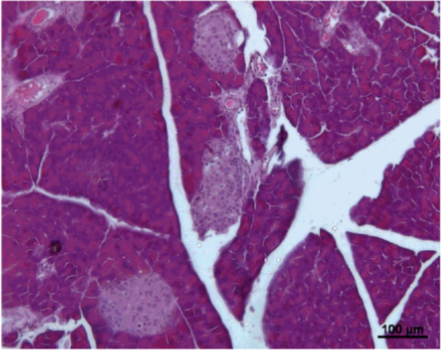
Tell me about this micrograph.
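Section of pancreas in which pale pink, rounded to oval islets lie among darker, purple-red exocrine acinar tissue. The islet cells have paler cytoplasm than the surrounding acini, which form densely packed lobules separated by clear spaces and thin strands of connective tissue carrying small vessels.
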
